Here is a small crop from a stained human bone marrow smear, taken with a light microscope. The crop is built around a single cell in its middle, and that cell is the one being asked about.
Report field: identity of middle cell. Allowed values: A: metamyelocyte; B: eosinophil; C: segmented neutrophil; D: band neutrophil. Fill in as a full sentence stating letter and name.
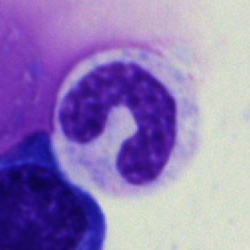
Option D holds, for the cell in the middle is a band neutrophil.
